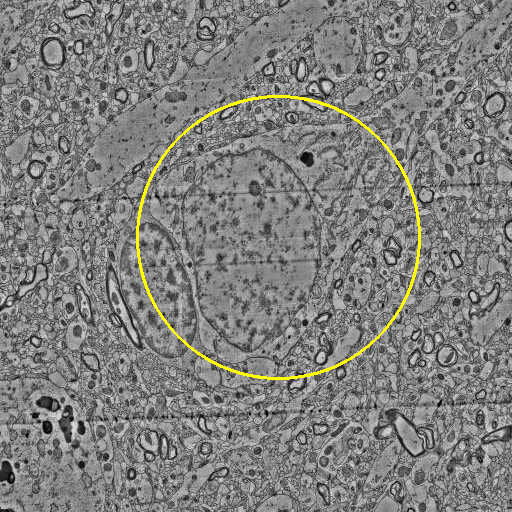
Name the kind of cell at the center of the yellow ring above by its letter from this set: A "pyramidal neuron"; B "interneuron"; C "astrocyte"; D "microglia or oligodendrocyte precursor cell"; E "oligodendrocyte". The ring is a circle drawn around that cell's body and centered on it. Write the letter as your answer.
A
